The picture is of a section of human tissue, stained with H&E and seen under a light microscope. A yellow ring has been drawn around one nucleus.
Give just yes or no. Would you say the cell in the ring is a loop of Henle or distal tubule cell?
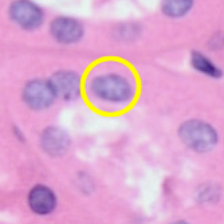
yes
